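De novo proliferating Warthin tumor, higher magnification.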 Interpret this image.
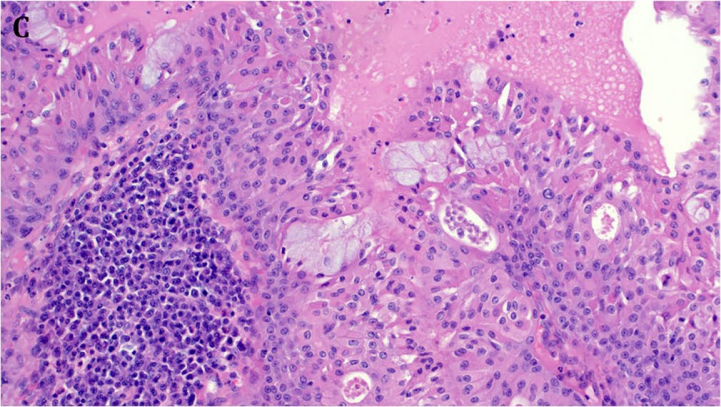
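This is stratified tumour epithelium lying next to a dense cluster of small round dark blue lymphoid cells at the lower left. Within the epithelium are small clusters of mucous cells with pale, bluish-grey, bubbly cytoplasm, while the cells toward the surface have more abundant pink cytoplasm and the cells along the base are smaller and more crowded. Pink secretion lies at the upper edge above the epithelium.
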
